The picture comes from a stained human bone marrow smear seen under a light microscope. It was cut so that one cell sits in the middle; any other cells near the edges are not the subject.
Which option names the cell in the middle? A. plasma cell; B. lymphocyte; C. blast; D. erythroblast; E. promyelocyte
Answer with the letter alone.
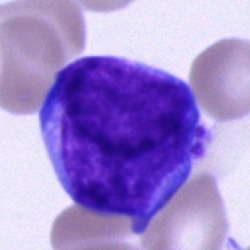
C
